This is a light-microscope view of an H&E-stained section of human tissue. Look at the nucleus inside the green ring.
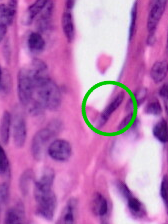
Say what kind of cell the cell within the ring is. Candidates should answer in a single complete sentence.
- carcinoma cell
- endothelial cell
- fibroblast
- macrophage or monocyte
In this tissue section, the cell within the ring is to be classed as an endothelial cell.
